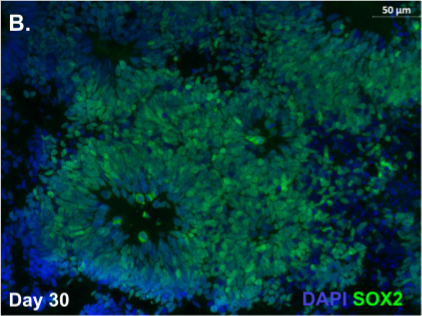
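The nuclei, stained green and blue, are elongated and packed tightly side by side. They point radially toward a small dark central cavity, giving the arrangement of a rosette. Around this rosette, further green-stained cells fill most of the field, with darker gaps between neighbouring clusters. The whole pattern resembles the pseudostratified lining of the developing brain's ventricles.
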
